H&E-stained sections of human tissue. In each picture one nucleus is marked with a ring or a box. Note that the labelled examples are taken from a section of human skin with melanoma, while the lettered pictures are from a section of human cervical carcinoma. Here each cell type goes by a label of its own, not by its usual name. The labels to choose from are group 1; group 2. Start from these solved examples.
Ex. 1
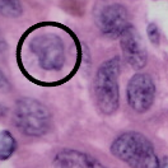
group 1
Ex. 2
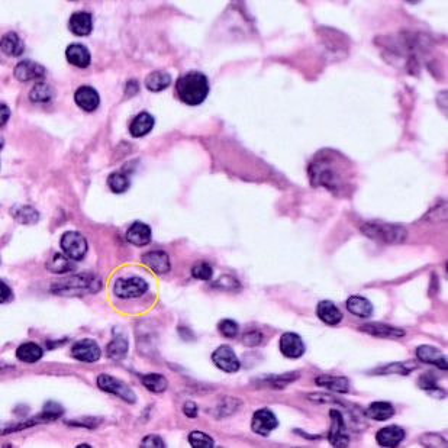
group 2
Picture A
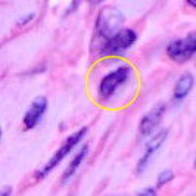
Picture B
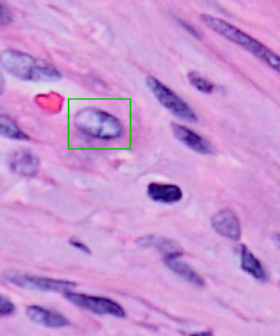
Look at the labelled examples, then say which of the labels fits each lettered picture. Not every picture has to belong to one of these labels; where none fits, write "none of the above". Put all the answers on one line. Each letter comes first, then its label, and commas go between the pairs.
A group 2, B none of the above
